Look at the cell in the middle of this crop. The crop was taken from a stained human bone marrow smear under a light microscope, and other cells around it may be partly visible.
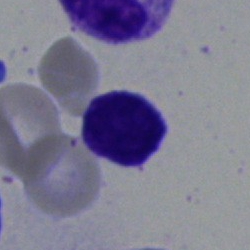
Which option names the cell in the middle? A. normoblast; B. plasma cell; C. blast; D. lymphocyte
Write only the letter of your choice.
D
